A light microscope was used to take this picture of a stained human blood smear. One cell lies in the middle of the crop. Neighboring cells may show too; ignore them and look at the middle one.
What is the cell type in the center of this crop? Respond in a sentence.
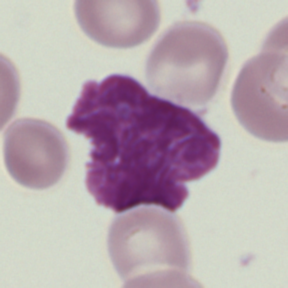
Within this crop, a smudge cell occupies the central position.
